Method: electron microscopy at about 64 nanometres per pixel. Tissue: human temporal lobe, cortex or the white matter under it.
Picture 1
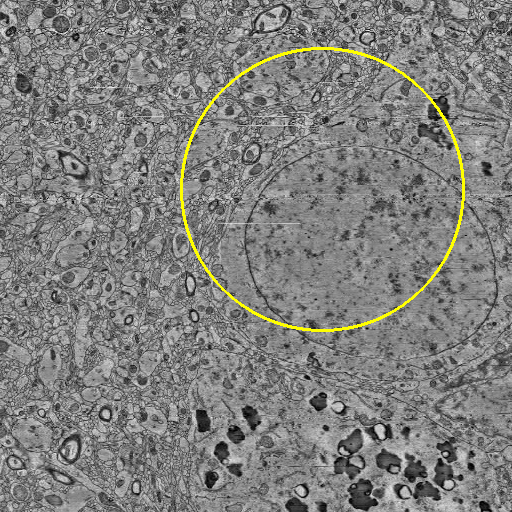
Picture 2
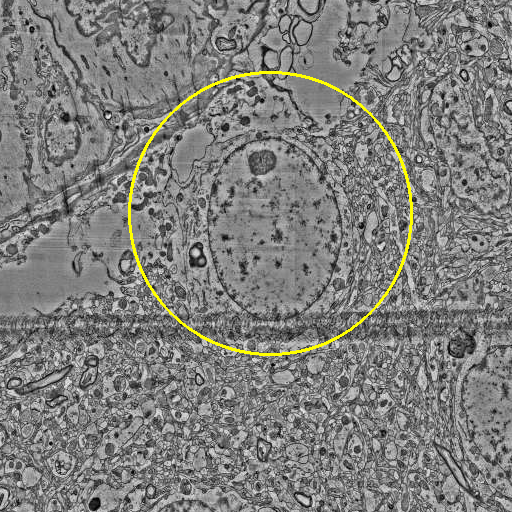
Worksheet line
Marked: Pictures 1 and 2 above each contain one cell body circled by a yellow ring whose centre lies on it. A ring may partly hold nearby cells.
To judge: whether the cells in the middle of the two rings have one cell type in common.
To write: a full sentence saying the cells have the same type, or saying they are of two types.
The cells in the middle of the rings in Picture 1 and Picture 2 have the same type.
